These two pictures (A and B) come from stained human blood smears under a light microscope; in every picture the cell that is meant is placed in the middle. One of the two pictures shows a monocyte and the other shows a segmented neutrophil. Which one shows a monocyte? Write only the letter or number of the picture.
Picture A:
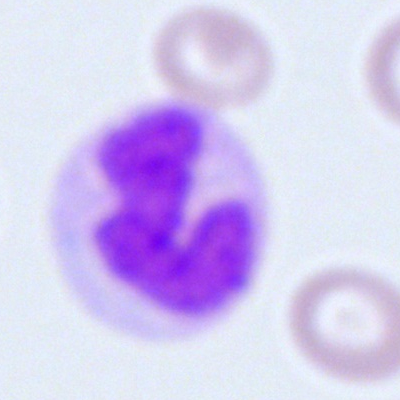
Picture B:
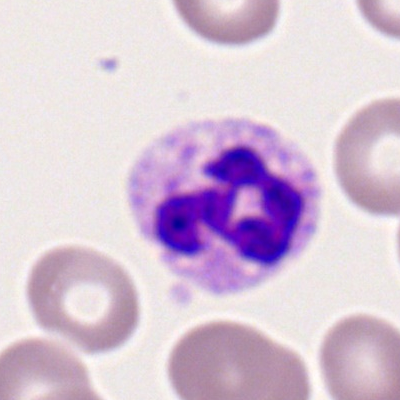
A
